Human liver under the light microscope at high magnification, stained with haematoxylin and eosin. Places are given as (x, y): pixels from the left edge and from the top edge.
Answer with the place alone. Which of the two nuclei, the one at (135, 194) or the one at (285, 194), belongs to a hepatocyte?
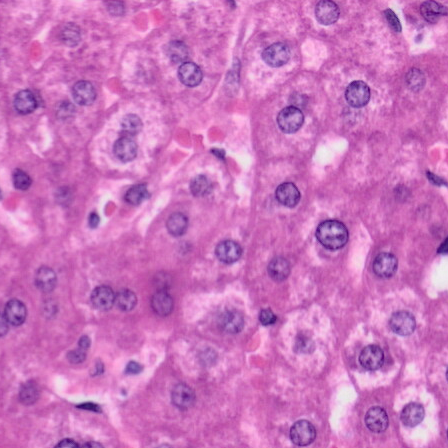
(285, 194)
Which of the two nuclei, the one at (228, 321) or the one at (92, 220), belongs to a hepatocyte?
(228, 321)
